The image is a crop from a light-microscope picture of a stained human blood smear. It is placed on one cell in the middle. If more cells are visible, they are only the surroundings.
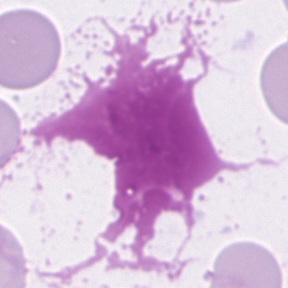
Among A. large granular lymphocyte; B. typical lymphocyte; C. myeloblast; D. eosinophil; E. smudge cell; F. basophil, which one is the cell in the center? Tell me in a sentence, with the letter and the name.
The cell placed in the middle is a smudge cell; option E is correct.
